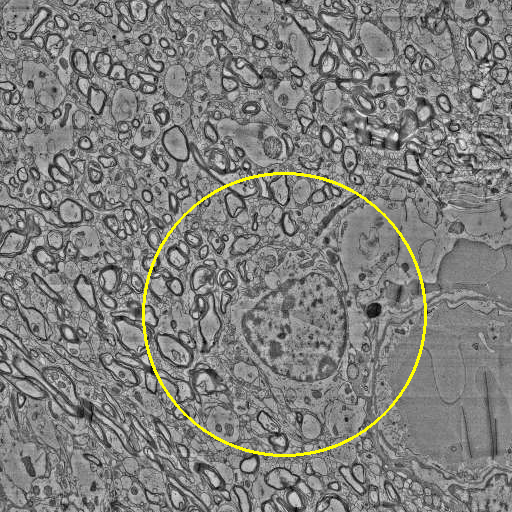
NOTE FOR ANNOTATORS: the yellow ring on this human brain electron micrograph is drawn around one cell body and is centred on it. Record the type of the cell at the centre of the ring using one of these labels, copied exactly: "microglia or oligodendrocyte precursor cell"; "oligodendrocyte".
microglia or oligodendrocyte precursor cell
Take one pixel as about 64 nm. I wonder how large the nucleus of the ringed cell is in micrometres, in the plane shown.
The nucleus of the ringed cell is approximately 7 micrometres across in this plane.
